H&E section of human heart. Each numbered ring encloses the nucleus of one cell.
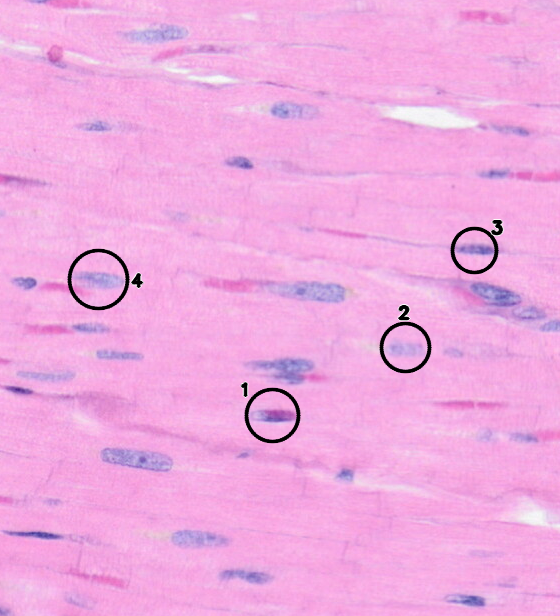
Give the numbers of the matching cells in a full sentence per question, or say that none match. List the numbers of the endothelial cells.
The cells that have been numbered 1 and 3 are endothelial cells.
